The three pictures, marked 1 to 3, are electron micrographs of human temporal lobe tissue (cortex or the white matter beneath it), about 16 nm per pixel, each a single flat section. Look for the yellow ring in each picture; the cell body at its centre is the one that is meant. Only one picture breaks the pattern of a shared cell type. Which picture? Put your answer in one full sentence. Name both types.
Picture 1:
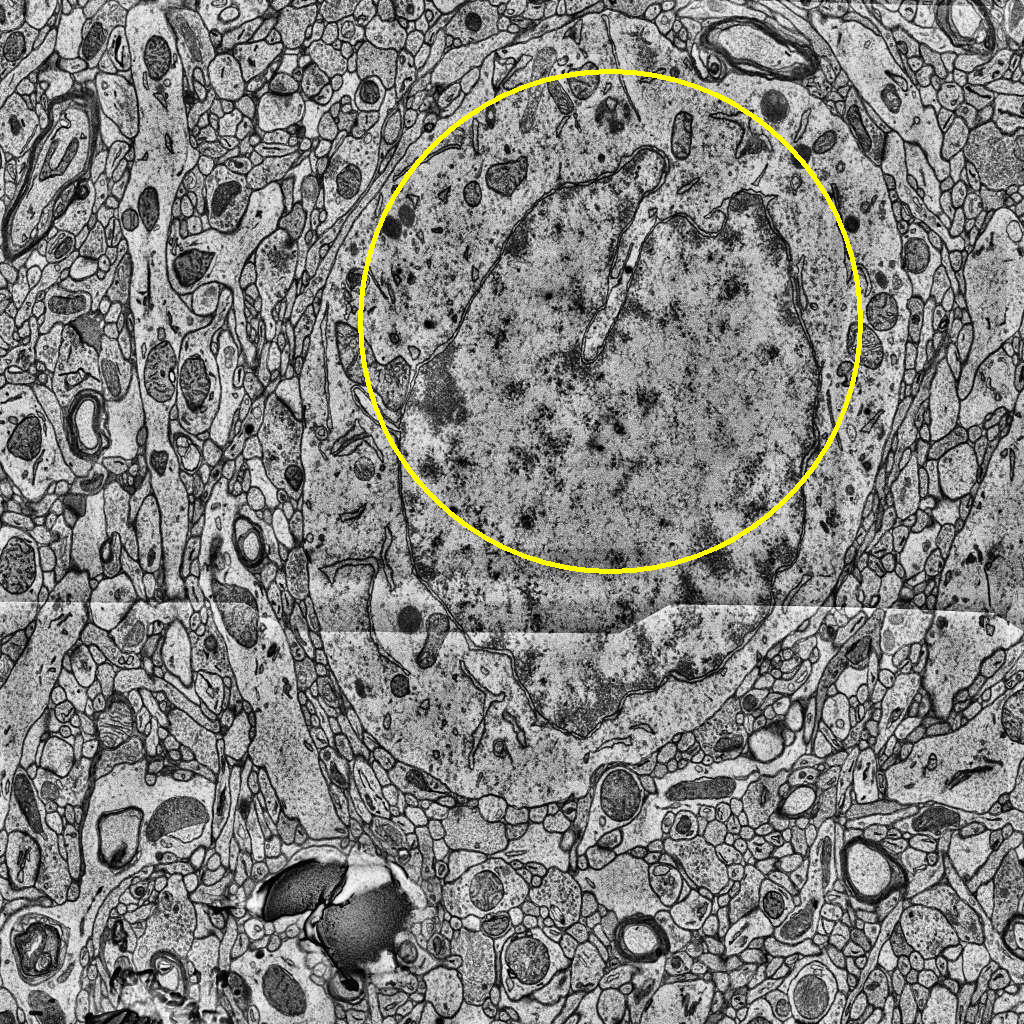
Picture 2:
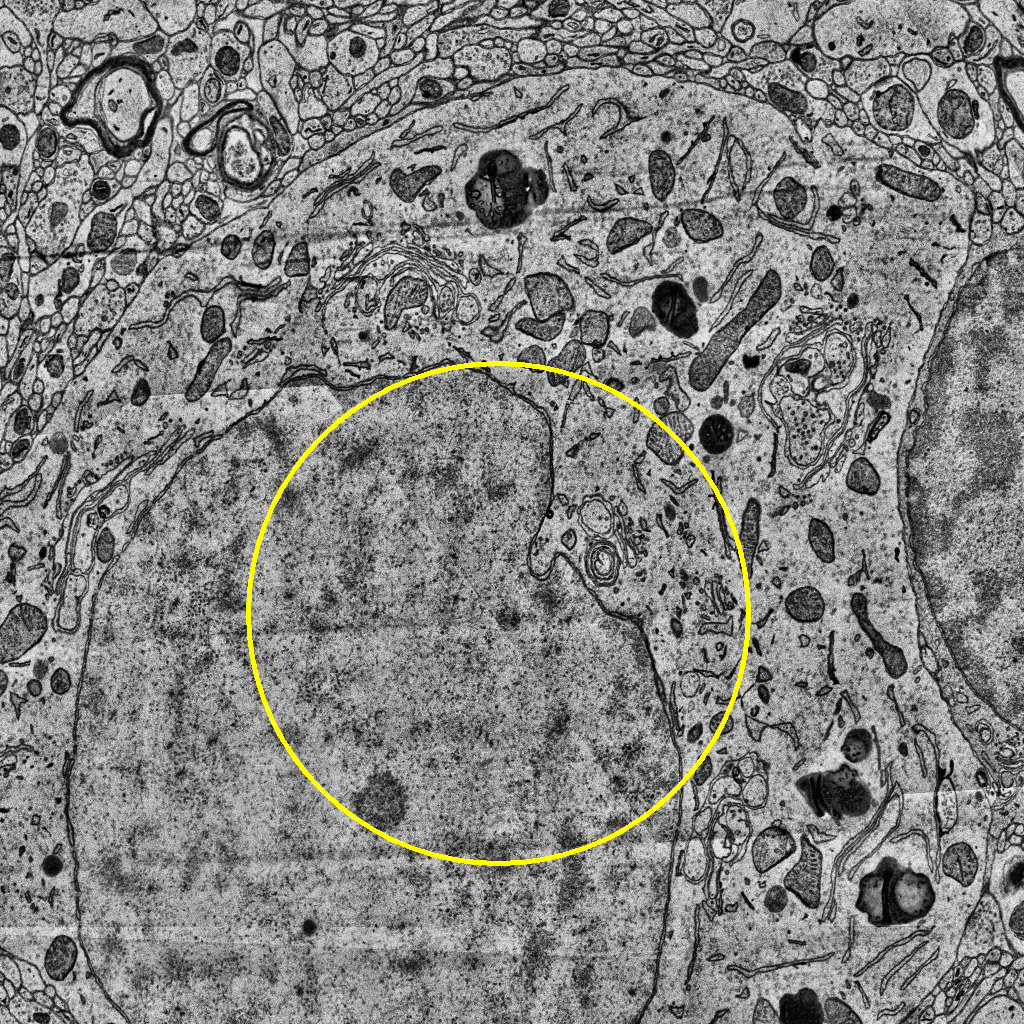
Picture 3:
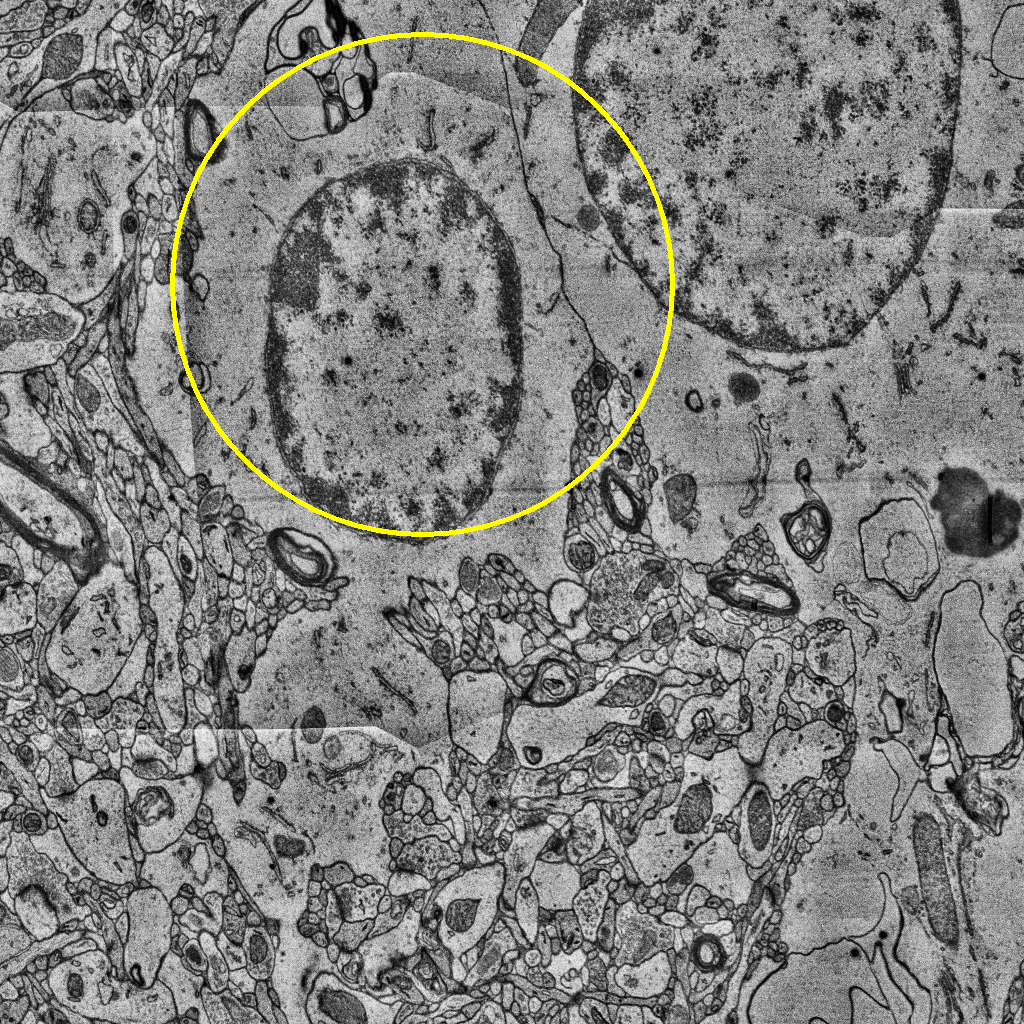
Picture 3 differs, because its cell is an astrocyte and the rest are interneurons.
